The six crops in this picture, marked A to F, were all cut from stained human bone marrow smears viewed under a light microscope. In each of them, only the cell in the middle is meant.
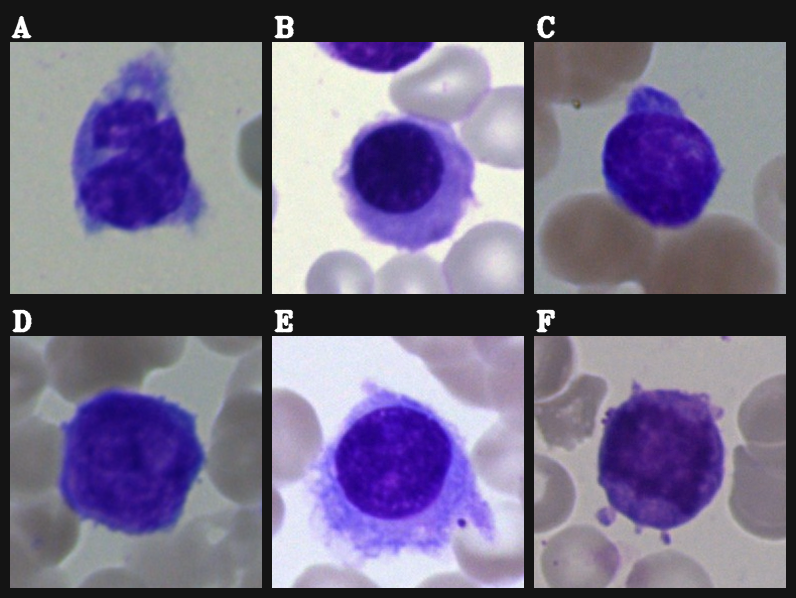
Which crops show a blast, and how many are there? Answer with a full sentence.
Of the crops presented, C and D show blasts, a total of two.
